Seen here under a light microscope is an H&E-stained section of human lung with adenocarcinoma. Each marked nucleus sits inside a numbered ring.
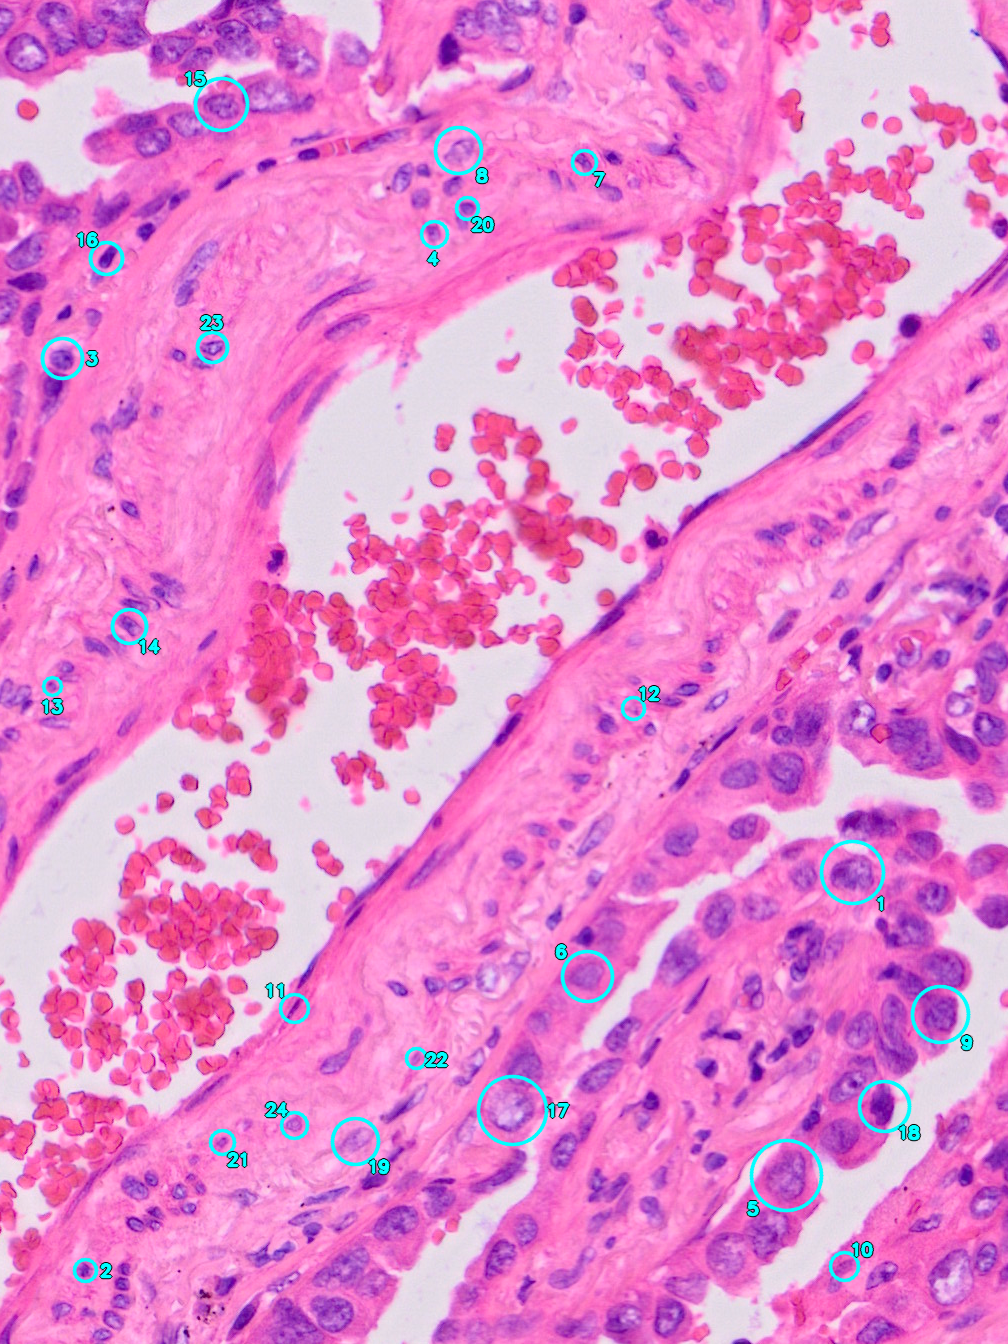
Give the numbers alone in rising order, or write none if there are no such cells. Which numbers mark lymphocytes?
3, 16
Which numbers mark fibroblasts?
8, 19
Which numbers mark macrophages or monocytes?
10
